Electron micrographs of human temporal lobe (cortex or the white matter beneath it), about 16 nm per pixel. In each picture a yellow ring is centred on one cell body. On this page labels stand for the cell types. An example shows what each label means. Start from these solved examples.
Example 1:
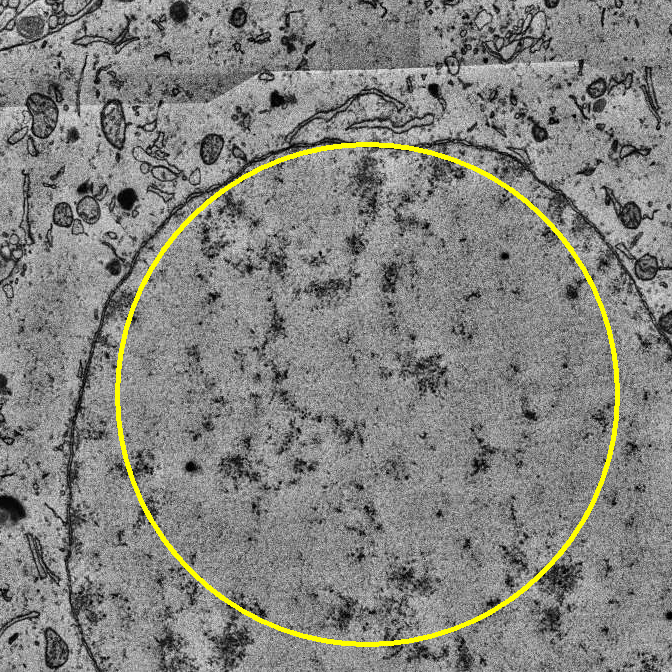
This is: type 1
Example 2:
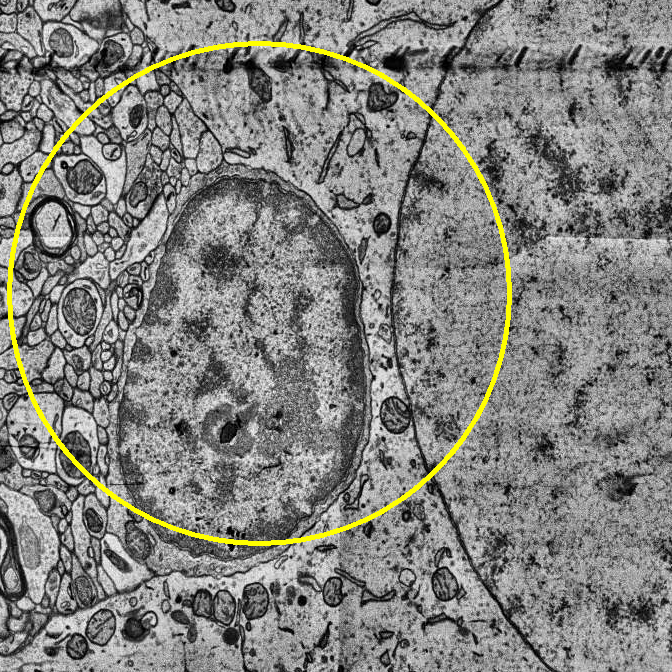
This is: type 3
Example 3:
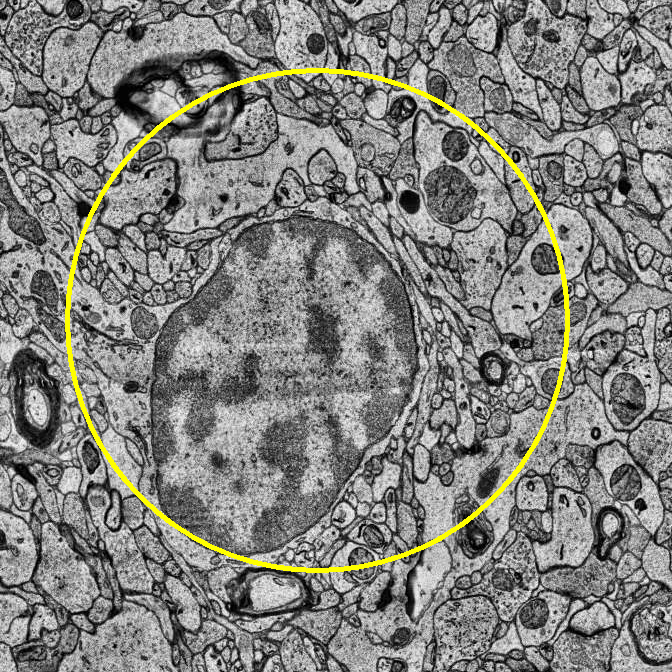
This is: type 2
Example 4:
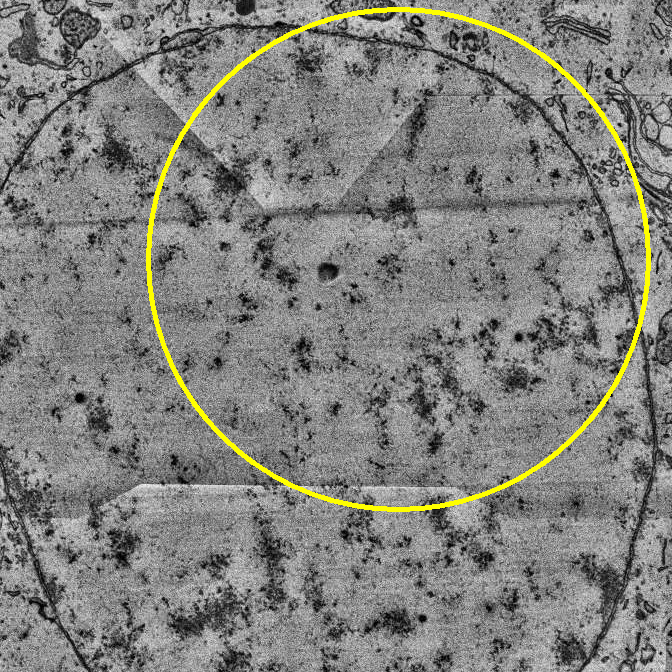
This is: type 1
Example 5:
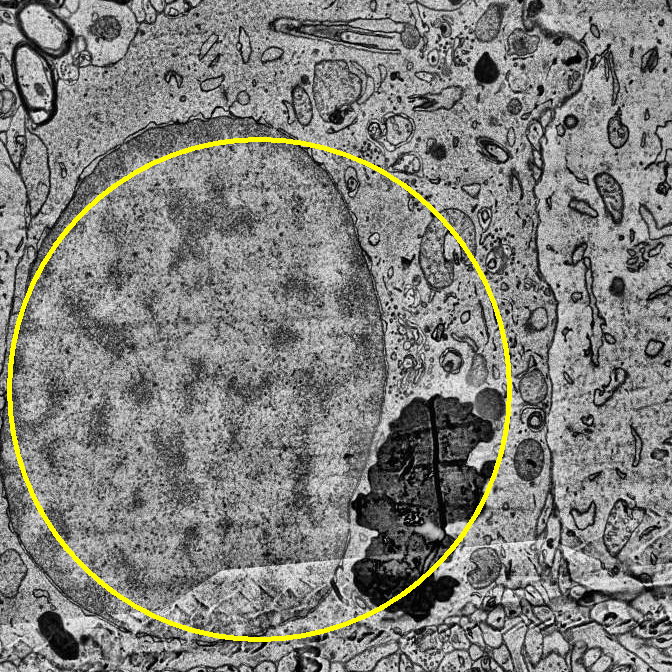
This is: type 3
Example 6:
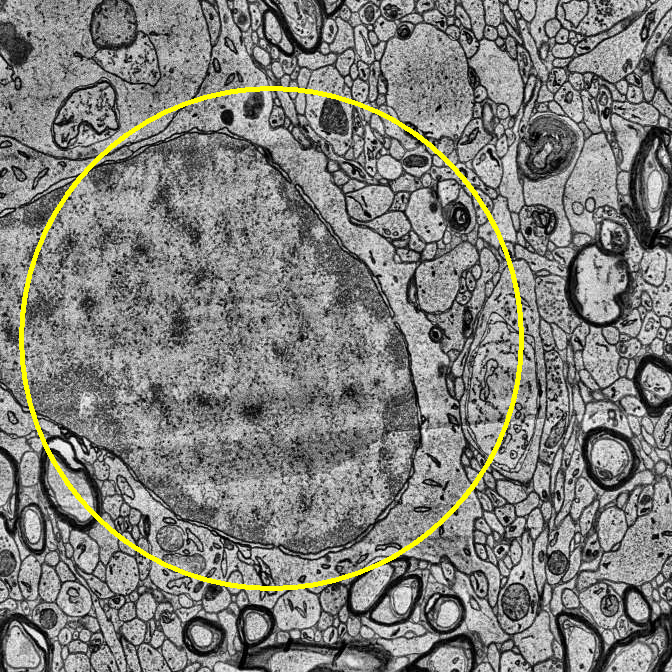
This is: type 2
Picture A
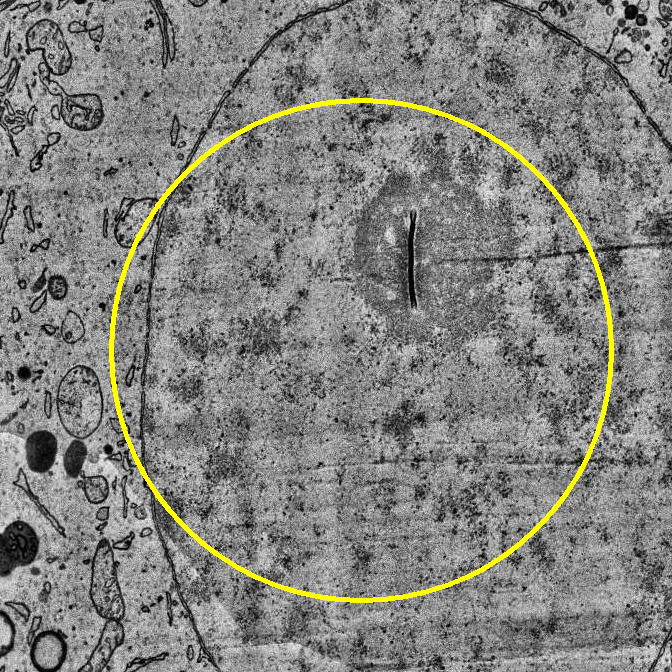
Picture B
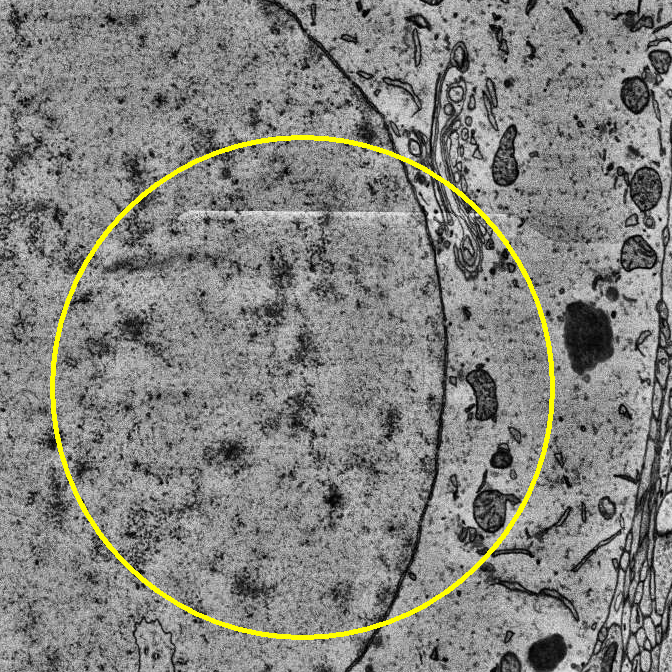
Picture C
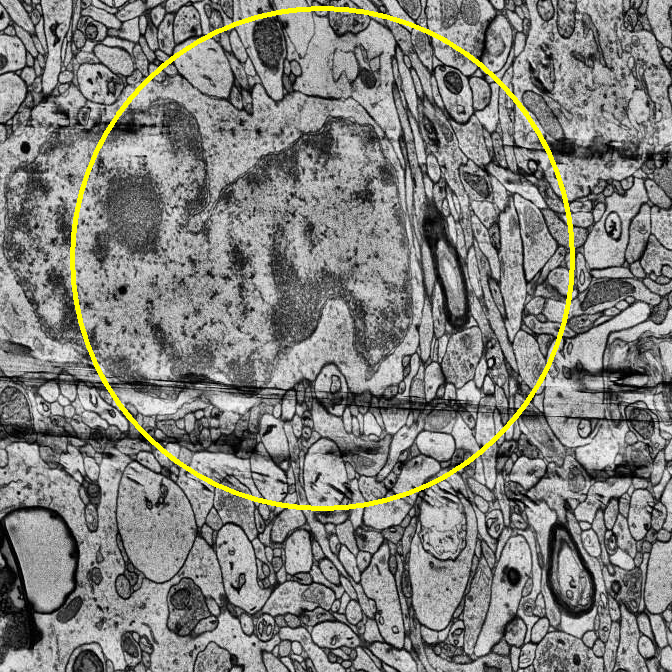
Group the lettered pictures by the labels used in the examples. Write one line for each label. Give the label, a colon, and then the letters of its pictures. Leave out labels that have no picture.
type 1: A, B
type 2: C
